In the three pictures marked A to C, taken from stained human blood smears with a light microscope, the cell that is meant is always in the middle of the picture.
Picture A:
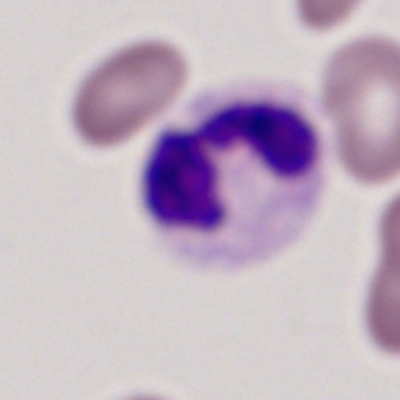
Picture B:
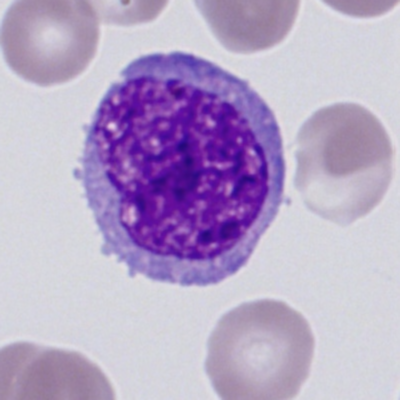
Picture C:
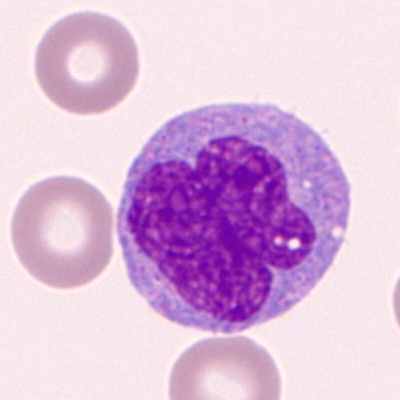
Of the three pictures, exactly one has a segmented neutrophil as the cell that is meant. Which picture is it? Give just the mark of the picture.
A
